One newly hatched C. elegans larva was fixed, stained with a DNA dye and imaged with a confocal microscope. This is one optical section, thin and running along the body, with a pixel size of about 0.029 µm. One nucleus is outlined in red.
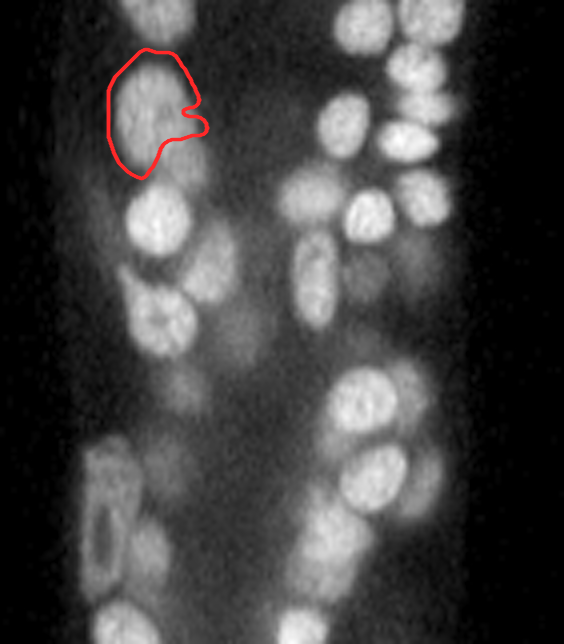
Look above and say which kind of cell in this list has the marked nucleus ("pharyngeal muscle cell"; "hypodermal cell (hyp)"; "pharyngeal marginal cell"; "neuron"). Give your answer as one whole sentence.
This nucleus is from a pharyngeal muscle cell.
